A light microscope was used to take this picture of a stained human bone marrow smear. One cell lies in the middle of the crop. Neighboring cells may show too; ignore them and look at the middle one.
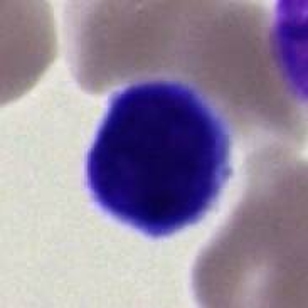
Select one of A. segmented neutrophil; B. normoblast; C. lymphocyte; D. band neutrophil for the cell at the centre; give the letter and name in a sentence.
Option C is the correct option, with the middle cell being a lymphocyte.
